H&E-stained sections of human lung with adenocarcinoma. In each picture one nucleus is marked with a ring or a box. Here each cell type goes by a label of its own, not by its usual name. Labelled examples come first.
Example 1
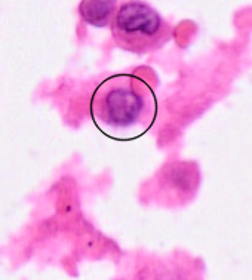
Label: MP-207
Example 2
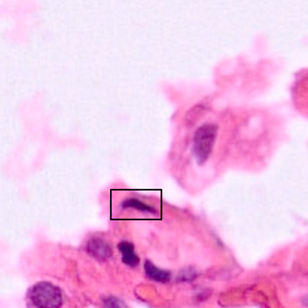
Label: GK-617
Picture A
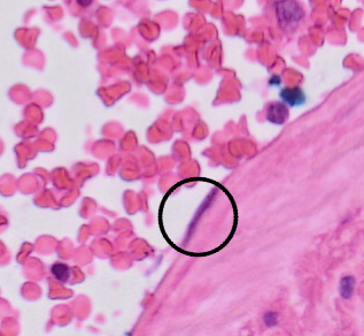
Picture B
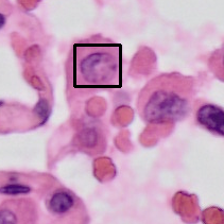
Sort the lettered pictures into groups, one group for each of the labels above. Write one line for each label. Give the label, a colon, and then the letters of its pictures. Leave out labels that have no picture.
MP-207: B
GK-617: A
